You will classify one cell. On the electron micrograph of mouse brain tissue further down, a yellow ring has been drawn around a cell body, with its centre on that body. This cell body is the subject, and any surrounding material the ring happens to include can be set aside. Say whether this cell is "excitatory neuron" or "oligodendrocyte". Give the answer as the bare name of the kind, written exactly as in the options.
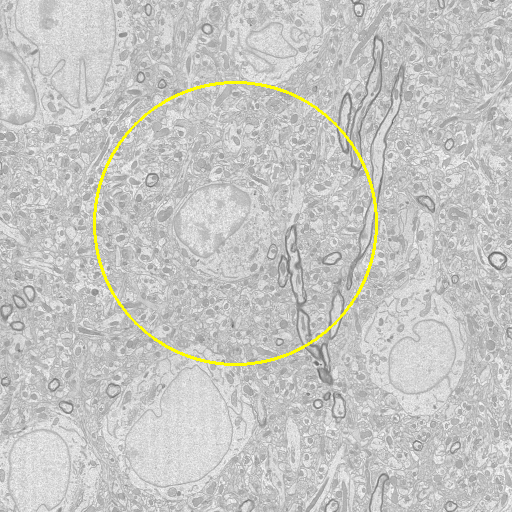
oligodendrocyte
